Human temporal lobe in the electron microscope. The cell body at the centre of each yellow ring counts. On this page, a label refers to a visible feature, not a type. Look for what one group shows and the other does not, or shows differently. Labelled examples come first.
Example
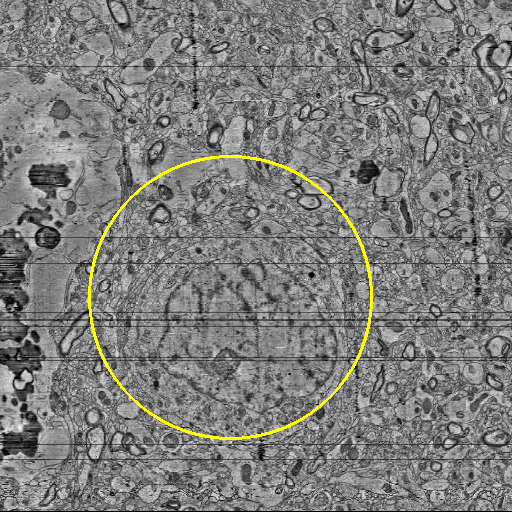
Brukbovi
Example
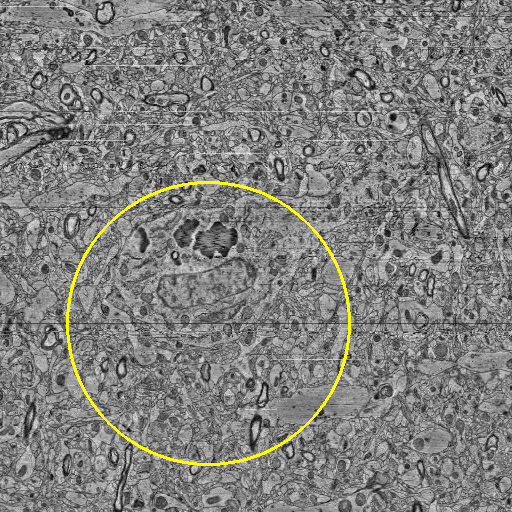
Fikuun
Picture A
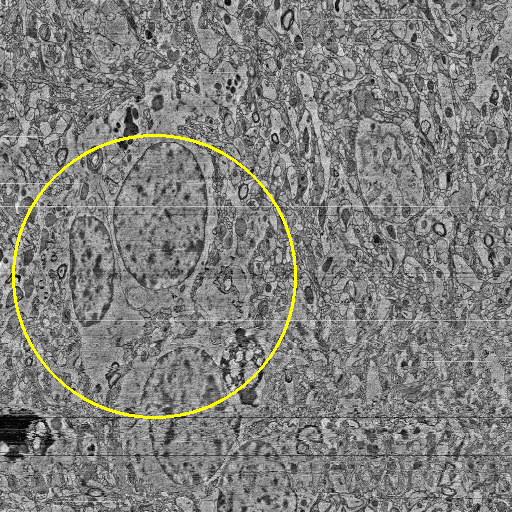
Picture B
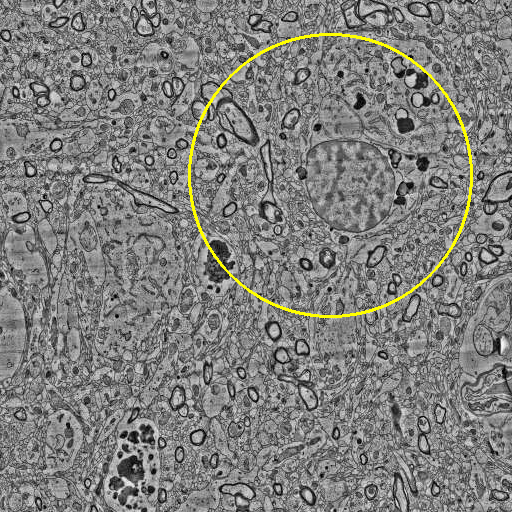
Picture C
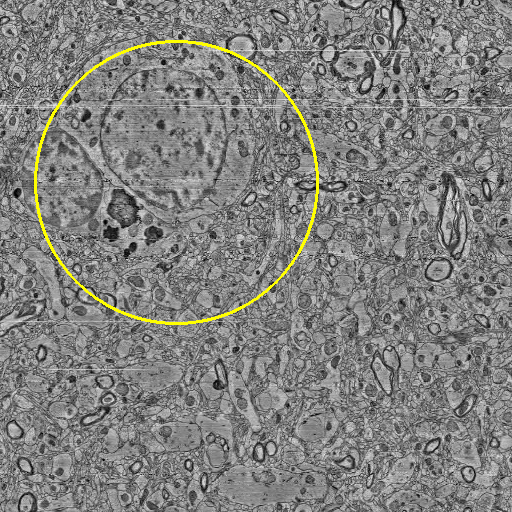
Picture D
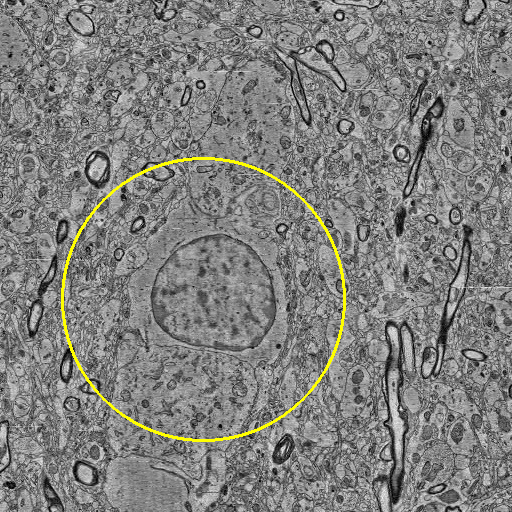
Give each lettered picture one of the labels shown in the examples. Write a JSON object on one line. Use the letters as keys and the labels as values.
{"A": "Fikuun", "B": "Brukbovi", "C": "Brukbovi", "D": "Brukbovi"}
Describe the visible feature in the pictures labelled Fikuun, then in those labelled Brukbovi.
Fikuun: clearly elongated nuclei; Brukbovi: round or nearly round nuclei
